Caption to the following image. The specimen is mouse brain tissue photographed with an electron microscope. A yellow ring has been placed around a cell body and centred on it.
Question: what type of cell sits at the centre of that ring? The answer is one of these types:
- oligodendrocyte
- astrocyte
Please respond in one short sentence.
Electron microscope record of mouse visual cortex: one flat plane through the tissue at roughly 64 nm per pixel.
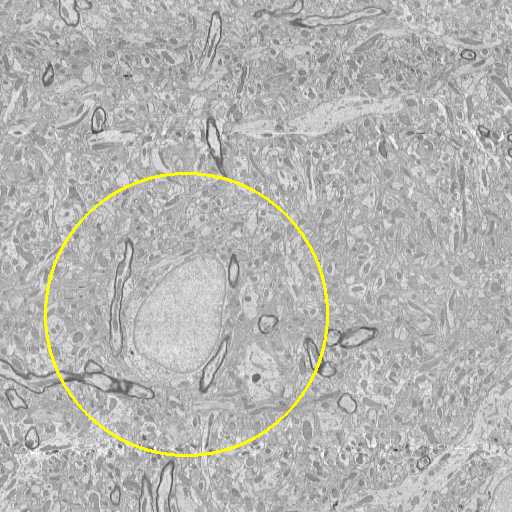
The ring surrounds the cell body of an astrocyte.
